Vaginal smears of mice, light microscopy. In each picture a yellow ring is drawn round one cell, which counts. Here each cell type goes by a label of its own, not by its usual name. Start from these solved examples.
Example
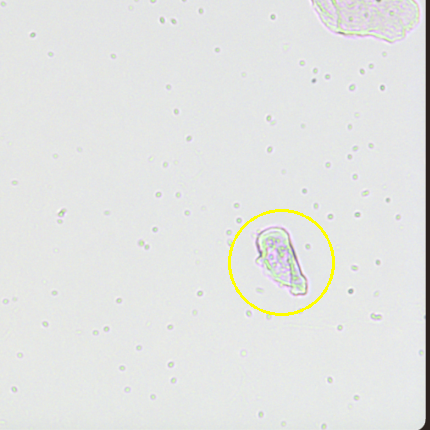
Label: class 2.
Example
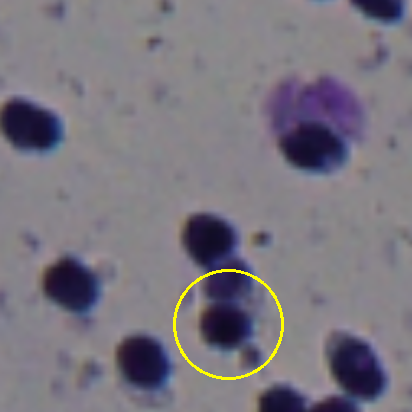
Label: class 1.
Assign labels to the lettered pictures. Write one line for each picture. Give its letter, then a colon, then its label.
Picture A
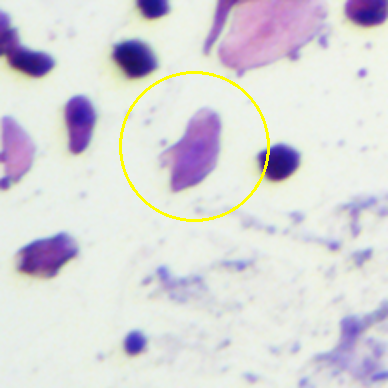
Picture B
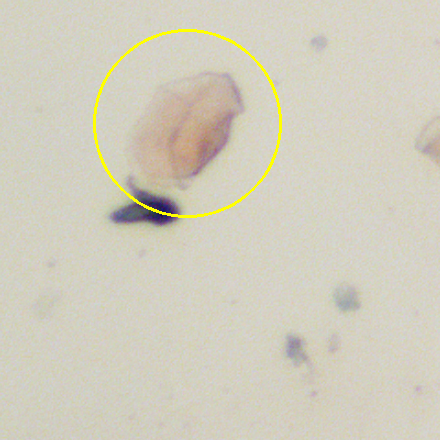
A: class 2.
B: class 2.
